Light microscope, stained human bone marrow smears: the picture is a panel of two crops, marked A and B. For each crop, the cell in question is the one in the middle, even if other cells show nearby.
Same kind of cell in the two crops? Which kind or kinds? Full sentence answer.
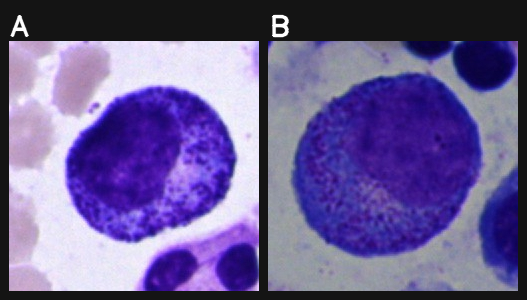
Yes, the central cells, in both crops, are promyelocytes.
